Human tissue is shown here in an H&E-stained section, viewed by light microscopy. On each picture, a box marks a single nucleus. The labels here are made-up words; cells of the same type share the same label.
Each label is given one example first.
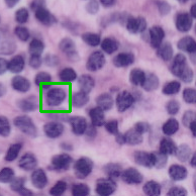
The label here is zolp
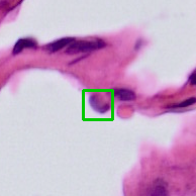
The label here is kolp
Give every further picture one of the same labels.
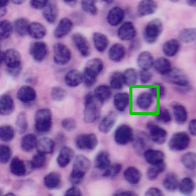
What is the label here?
zolp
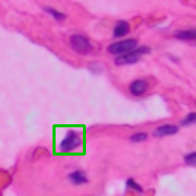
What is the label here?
kolp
